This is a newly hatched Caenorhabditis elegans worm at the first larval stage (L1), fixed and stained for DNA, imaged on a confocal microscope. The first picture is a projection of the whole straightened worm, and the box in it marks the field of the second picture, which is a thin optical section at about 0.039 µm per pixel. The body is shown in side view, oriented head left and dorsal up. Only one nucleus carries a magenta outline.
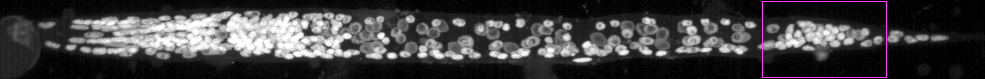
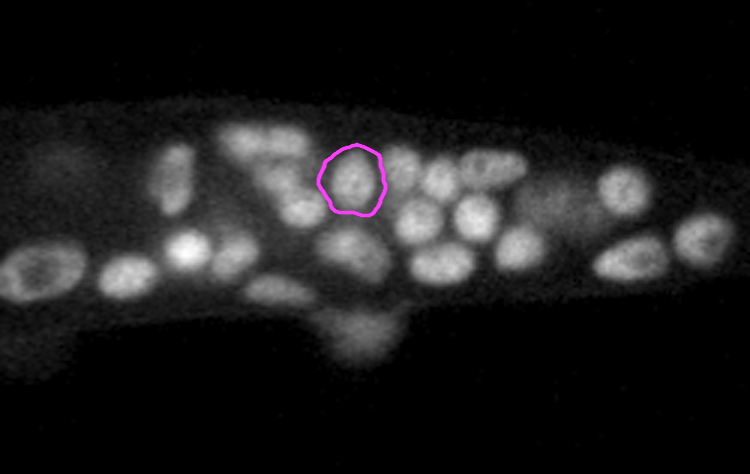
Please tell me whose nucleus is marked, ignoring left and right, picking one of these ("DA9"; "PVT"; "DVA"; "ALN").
DVA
